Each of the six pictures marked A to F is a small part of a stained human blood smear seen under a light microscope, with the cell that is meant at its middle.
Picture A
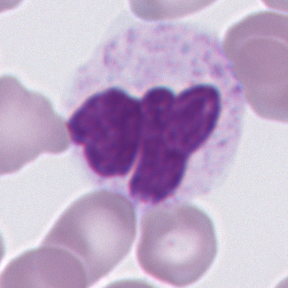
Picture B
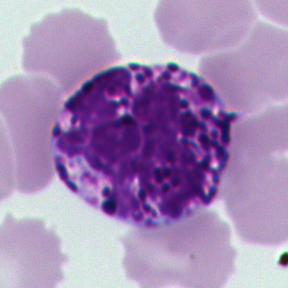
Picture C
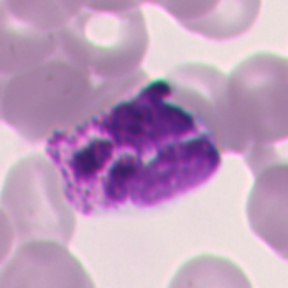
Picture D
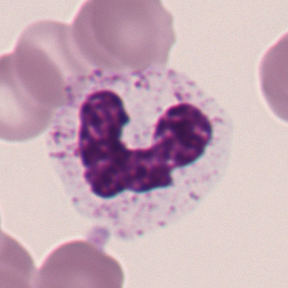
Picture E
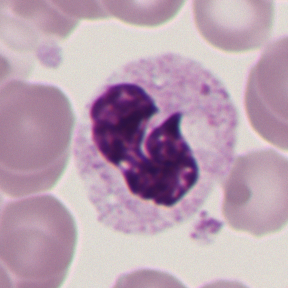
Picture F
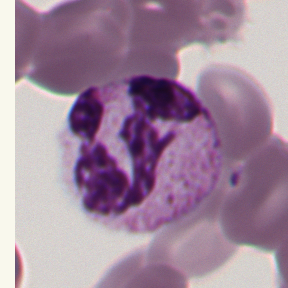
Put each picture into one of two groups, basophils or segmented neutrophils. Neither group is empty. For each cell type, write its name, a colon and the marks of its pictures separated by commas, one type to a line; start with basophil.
basophil: B, C
segmented neutrophil: A, D, E, F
